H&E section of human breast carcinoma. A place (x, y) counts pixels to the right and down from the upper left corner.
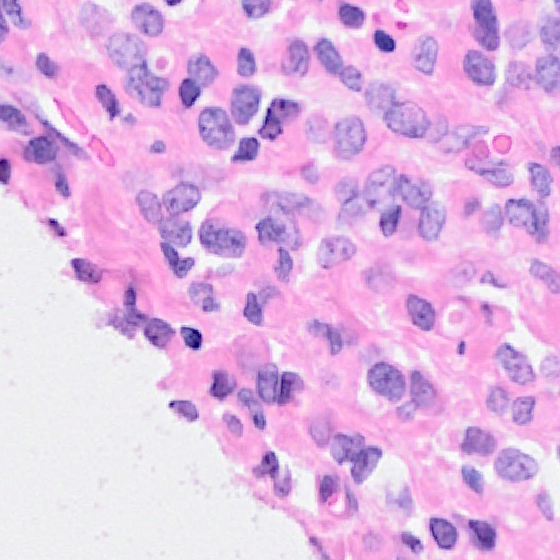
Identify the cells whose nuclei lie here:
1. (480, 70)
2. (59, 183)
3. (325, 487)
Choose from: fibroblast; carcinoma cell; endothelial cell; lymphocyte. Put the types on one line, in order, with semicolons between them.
carcinoma cell; endothelial cell; endothelial cell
